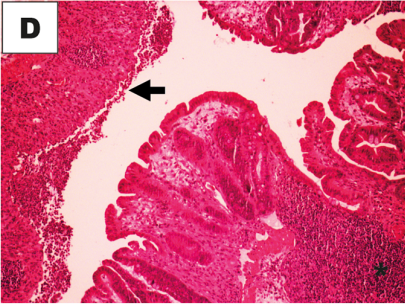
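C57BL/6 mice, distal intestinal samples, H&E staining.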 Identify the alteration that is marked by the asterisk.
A: inflammatory infiltrate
